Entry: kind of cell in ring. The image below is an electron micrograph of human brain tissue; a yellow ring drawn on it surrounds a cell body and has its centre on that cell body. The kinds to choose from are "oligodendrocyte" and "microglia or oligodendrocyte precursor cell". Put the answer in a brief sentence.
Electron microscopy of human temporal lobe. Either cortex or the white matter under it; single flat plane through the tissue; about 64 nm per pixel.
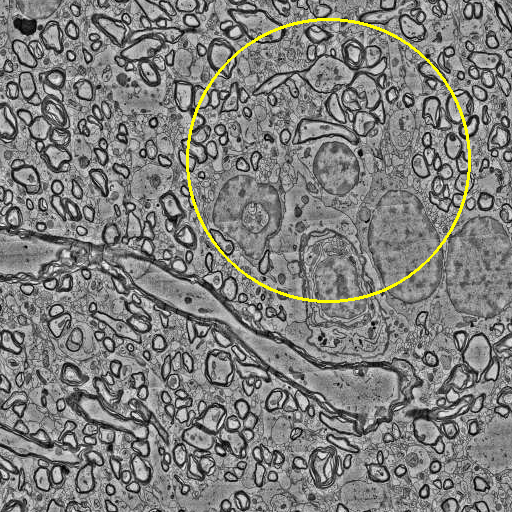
The ring has been drawn around a microglial cell or oligodendrocyte precursor cell.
